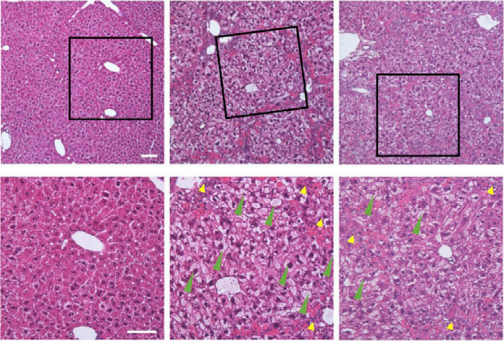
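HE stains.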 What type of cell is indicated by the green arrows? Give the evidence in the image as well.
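Balloon-like hepatocytes. The green arrows point to enlarged, rounded liver cells. The cells they mark have pale, clear, wispy cytoplasm compared with the pink cytoplasm of neighbouring hepatocytes.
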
